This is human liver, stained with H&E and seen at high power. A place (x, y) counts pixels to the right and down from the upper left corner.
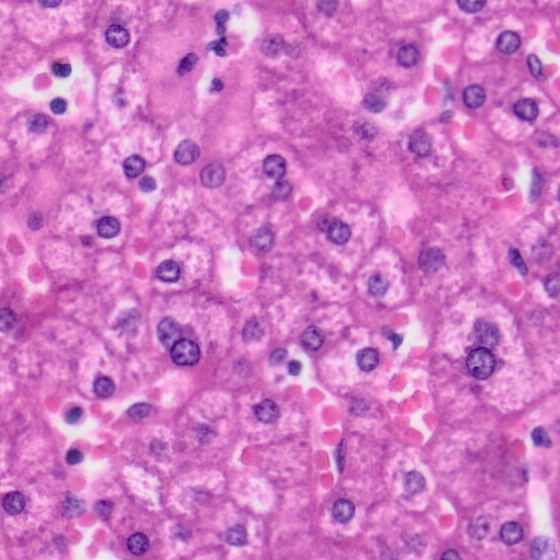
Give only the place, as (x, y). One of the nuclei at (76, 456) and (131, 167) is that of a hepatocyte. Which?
(131, 167)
